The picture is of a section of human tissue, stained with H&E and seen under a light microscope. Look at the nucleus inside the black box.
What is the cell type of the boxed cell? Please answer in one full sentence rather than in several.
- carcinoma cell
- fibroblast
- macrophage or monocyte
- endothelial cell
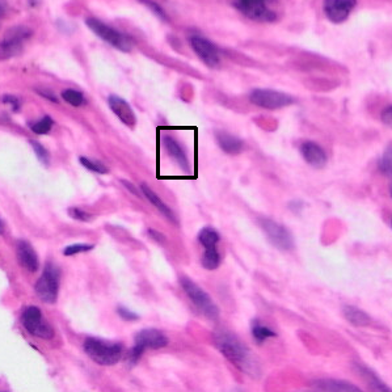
In this preparation, the boxed cell is a fibroblast.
